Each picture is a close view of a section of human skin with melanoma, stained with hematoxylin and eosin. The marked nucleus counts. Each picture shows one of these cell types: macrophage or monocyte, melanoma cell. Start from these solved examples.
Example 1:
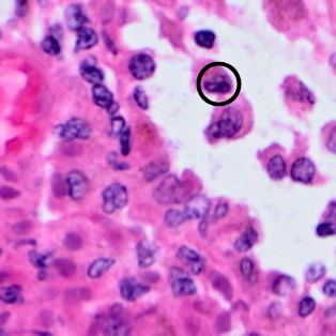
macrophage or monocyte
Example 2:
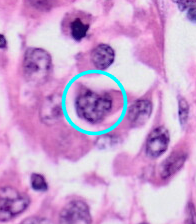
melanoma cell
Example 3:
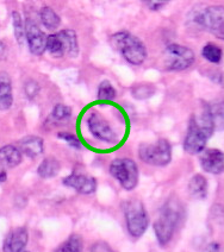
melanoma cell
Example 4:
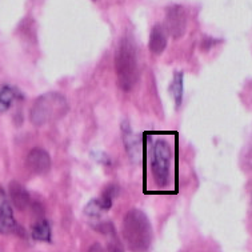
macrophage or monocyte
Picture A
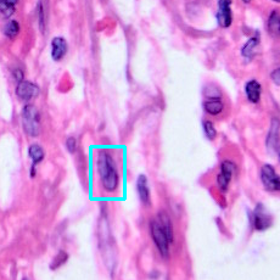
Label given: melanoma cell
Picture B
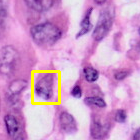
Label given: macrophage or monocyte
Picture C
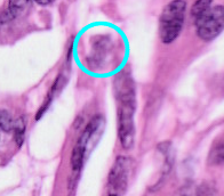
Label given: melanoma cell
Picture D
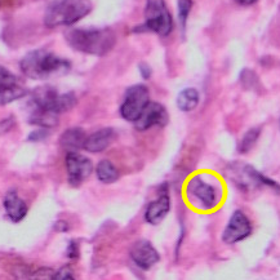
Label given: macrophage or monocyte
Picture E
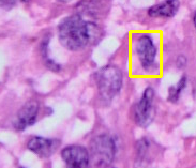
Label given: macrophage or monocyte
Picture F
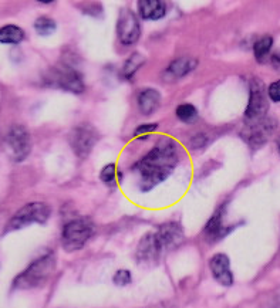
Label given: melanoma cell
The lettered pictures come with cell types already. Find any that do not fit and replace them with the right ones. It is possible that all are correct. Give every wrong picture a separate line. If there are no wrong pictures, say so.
A should be macrophage or monocyte, not melanoma cell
